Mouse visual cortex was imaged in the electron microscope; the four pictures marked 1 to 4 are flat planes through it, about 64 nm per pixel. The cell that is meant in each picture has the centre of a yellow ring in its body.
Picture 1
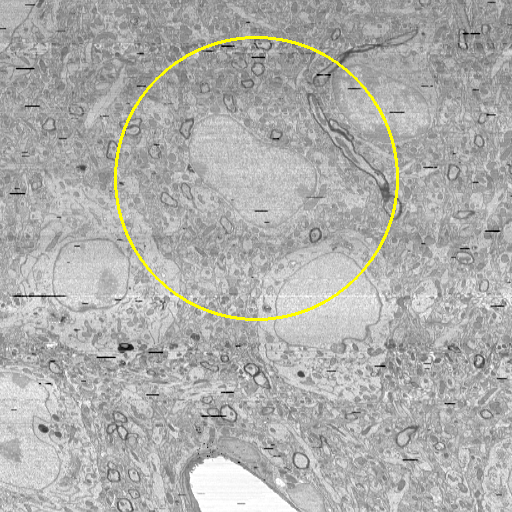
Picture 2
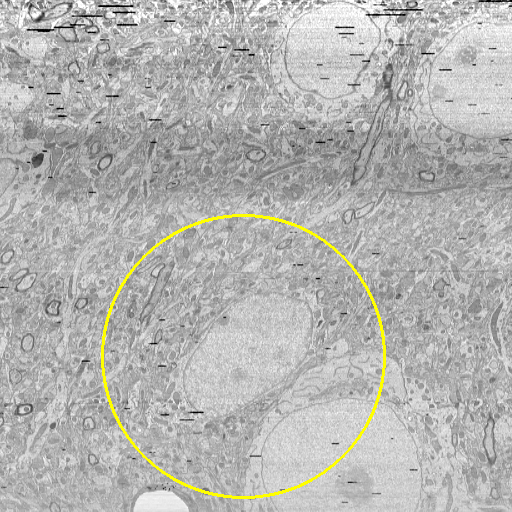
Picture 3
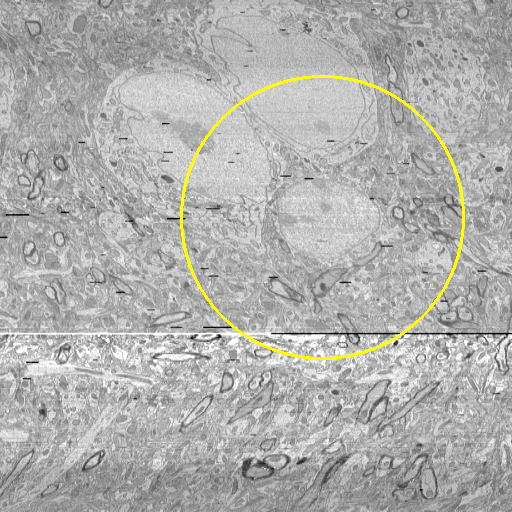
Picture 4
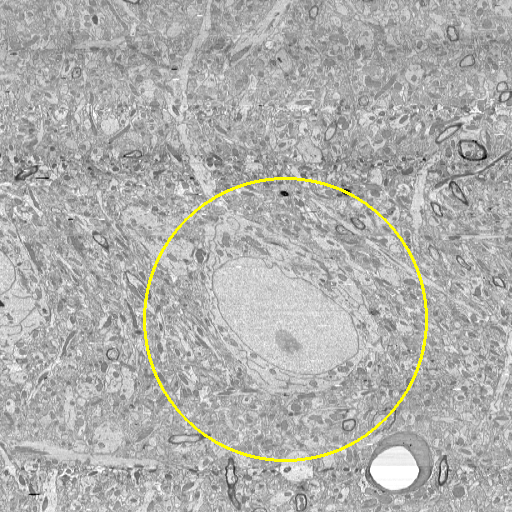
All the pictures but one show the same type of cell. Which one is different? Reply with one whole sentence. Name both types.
Picture 4 differs, because its cell is an excitatory neuron and the rest are astrocytes.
